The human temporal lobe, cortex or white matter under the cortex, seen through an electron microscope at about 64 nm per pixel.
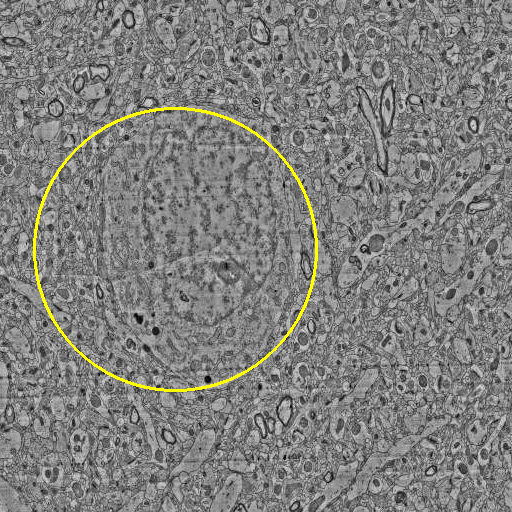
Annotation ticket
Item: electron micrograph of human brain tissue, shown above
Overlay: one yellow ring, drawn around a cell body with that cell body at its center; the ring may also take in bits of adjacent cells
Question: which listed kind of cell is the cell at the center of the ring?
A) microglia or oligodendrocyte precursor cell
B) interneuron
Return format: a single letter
B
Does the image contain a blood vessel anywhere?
No, none is visible.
